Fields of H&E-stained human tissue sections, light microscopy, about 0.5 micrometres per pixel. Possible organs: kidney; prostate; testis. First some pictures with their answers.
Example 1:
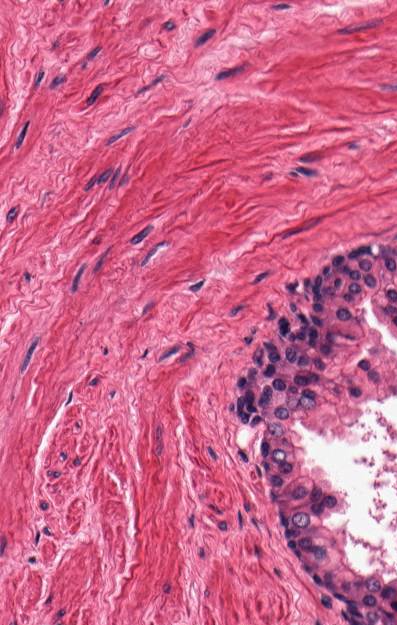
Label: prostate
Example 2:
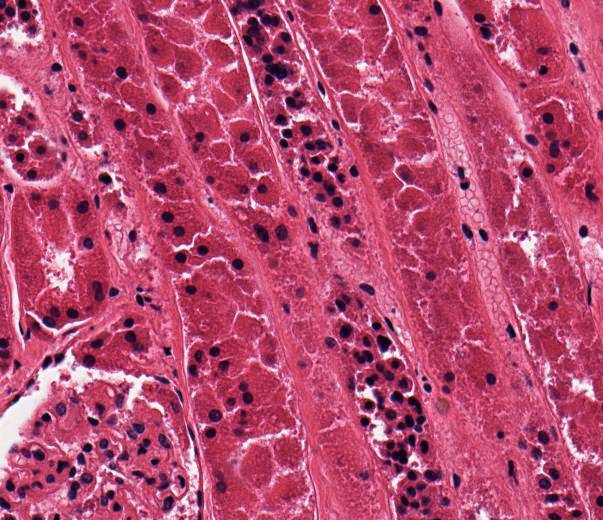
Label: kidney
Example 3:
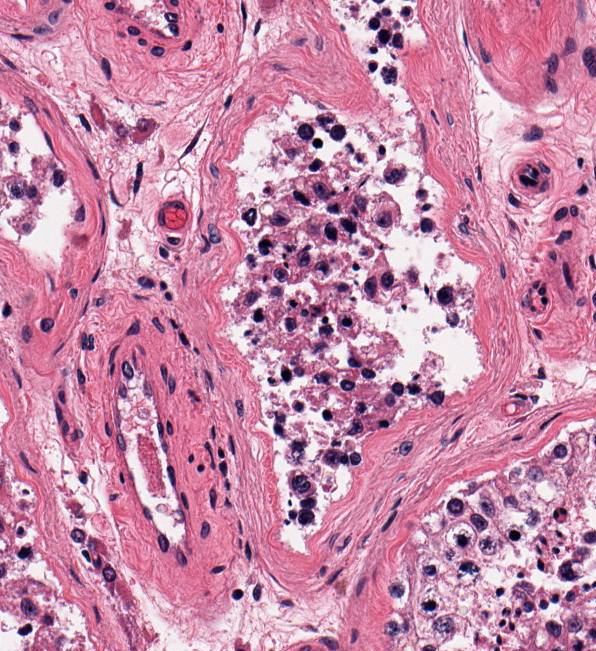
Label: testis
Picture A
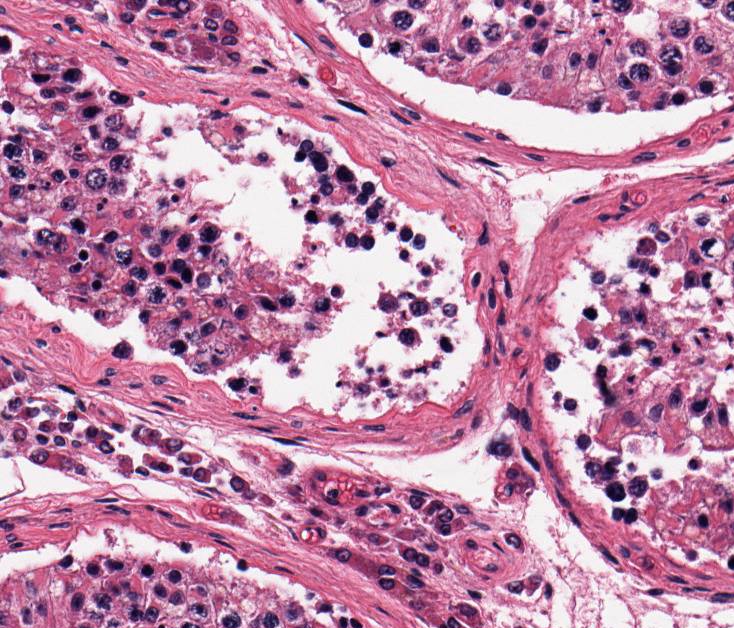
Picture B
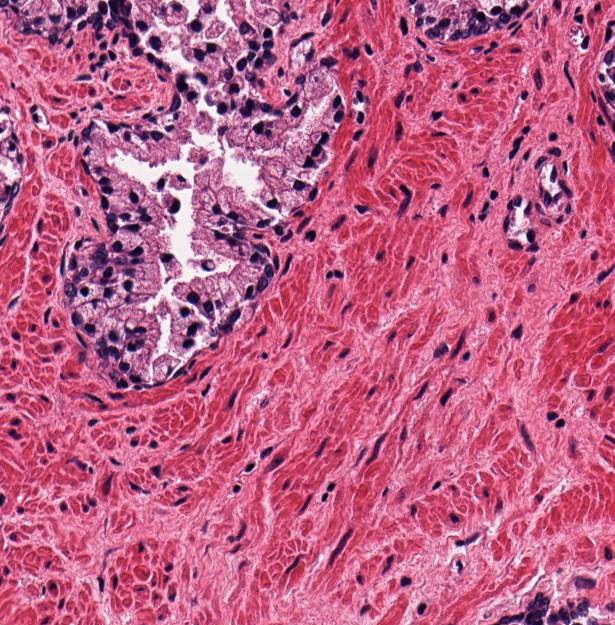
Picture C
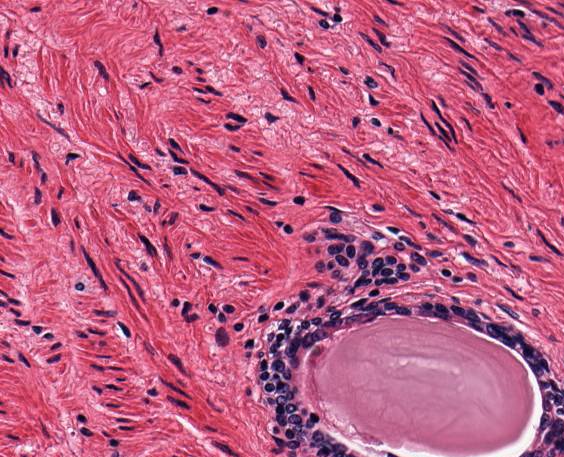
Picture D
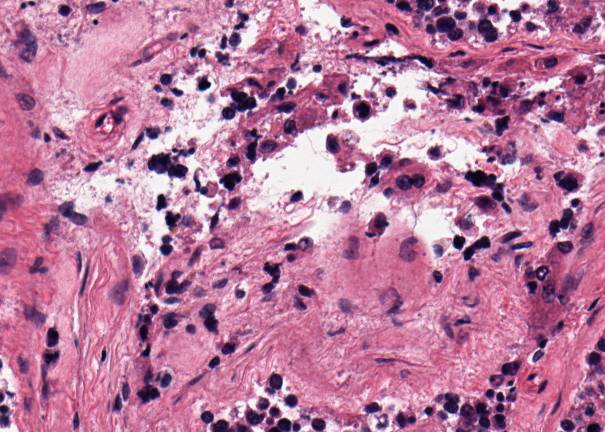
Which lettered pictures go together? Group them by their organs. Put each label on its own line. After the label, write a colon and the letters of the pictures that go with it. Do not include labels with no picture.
prostate: B, C
testis: A, D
